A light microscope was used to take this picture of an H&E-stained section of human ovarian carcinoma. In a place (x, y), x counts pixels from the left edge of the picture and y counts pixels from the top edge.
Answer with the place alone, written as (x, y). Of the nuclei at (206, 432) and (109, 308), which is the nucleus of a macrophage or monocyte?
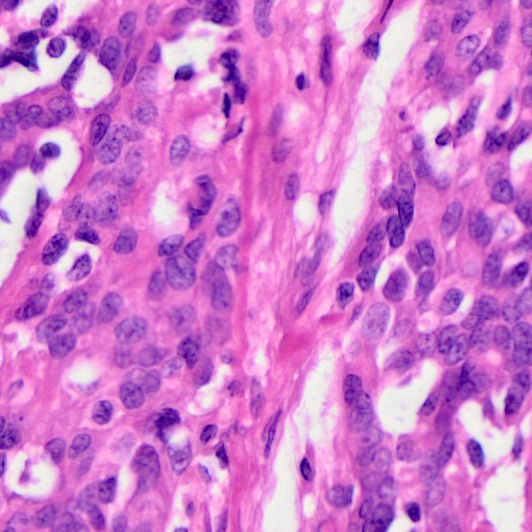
(206, 432)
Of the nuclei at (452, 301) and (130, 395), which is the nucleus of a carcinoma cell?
(130, 395)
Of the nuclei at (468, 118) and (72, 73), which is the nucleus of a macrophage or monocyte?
(468, 118)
